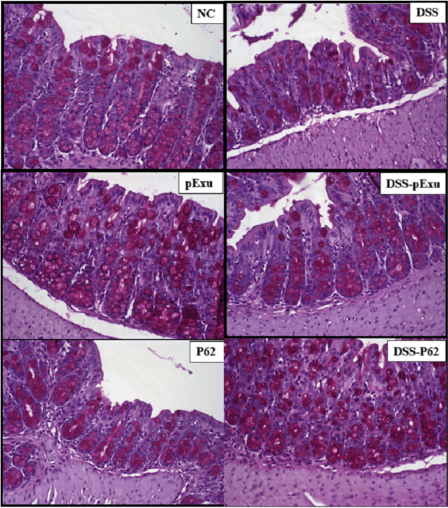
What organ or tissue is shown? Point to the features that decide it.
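Colon. Mucosa made of tubular crypts set side by side, opening onto a lumen. Crypts are lined by epithelium packed with mucus-filled cells. A layer of smooth muscle lies beneath the mucosa.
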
